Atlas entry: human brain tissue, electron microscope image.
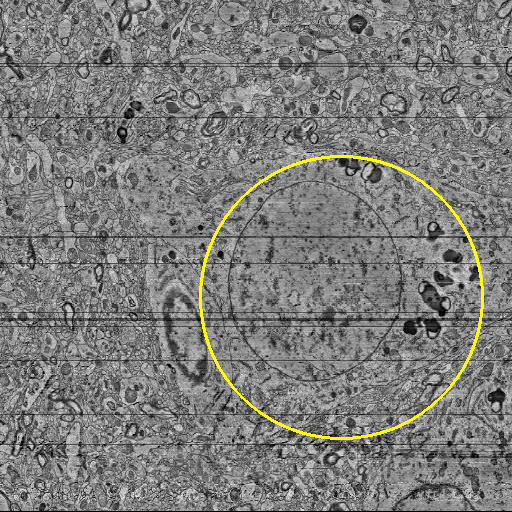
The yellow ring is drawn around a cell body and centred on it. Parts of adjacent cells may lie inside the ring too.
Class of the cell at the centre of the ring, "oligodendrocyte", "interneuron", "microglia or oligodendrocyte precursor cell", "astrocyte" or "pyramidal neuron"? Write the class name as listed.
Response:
pyramidal neuron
